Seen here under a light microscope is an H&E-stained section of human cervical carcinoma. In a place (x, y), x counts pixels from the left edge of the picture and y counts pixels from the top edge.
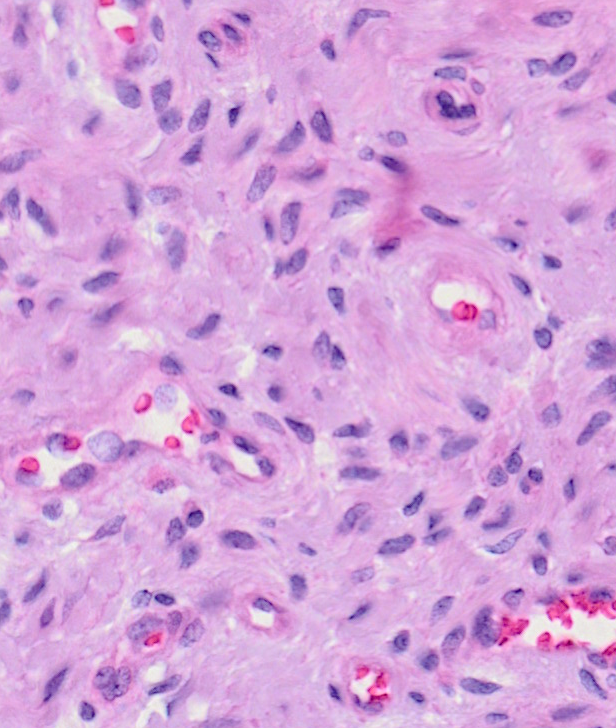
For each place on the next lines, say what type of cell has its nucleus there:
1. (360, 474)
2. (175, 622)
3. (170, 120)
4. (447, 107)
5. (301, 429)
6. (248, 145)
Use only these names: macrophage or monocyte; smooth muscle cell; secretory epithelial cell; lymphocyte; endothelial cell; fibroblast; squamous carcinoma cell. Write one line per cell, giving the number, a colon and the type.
1: fibroblast
2: endothelial cell
3: fibroblast
4: endothelial cell
5: fibroblast
6: fibroblast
